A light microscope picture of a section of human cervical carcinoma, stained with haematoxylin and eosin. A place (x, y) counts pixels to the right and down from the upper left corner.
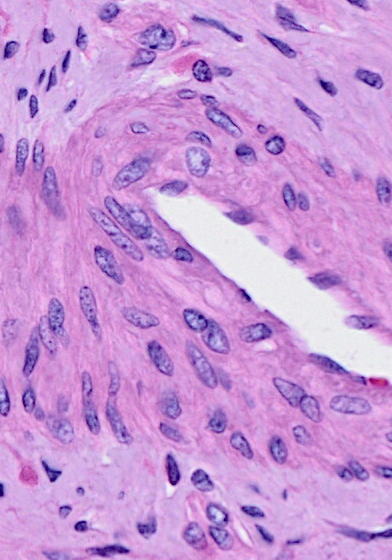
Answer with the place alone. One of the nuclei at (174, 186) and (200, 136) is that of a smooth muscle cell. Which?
(200, 136)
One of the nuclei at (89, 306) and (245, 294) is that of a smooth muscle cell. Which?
(89, 306)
